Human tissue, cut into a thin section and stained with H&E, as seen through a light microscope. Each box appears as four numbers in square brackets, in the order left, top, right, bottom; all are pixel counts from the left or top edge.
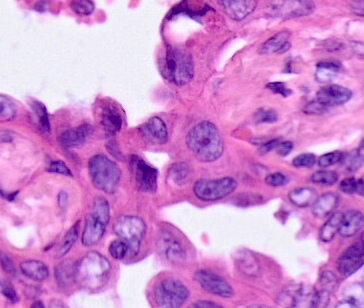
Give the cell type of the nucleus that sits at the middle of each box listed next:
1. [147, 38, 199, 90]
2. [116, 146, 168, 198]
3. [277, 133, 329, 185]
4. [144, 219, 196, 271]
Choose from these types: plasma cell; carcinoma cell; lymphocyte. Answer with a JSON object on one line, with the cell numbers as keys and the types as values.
{"1": "carcinoma cell", "2": "carcinoma cell", "3": "lymphocyte", "4": "carcinoma cell"}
